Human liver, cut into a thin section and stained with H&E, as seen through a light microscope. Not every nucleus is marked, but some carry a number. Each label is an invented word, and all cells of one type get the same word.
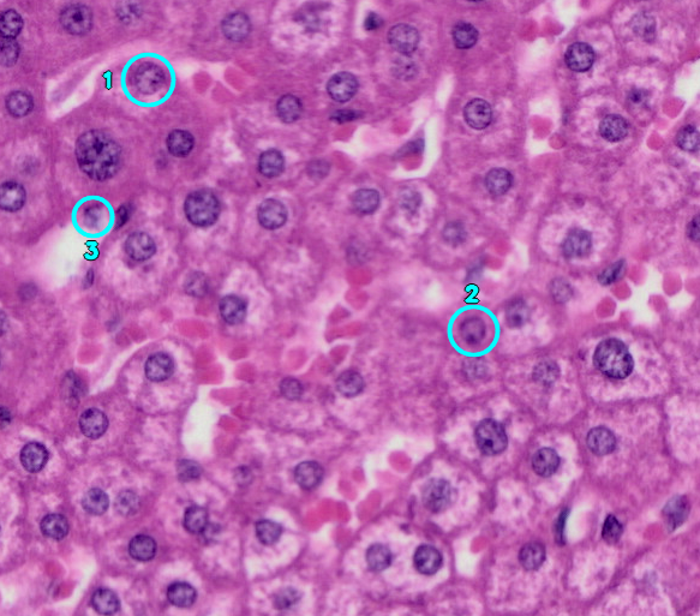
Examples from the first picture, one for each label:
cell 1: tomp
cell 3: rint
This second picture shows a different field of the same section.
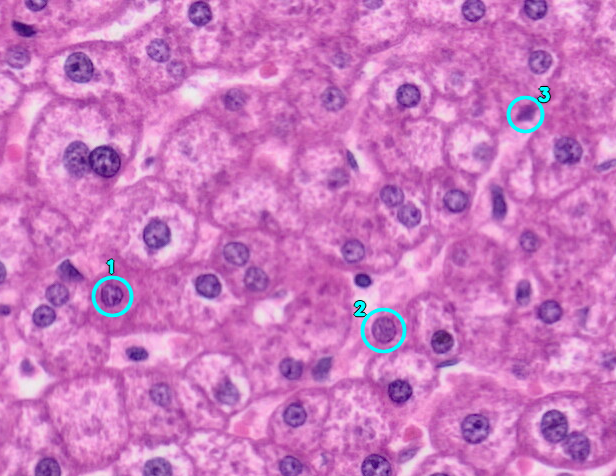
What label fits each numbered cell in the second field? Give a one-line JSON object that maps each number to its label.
{"1": "tomp", "2": "tomp", "3": "rint"}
